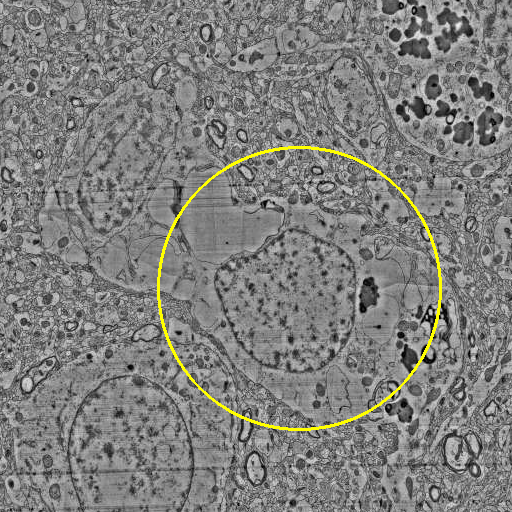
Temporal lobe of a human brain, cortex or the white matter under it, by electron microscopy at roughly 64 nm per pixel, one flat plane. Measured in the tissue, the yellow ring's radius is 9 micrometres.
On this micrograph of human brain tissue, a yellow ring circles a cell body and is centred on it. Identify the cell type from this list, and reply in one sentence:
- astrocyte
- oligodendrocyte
The cell at the centre is an astrocyte.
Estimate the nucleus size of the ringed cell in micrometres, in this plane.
The nucleus comes to roughly 9 micrometres across in this plane.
